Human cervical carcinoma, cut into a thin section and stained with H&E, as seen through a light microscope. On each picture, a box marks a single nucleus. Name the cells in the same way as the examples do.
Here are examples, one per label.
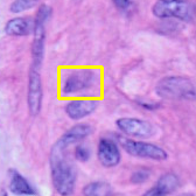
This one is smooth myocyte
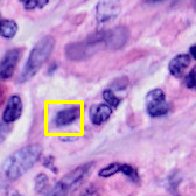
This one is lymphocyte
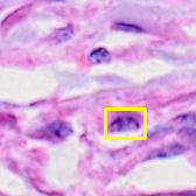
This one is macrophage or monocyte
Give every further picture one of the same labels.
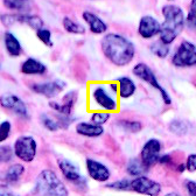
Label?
lymphocyte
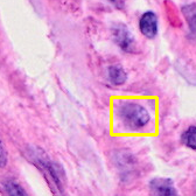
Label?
macrophage or monocyte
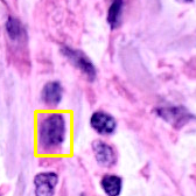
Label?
macrophage or monocyte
